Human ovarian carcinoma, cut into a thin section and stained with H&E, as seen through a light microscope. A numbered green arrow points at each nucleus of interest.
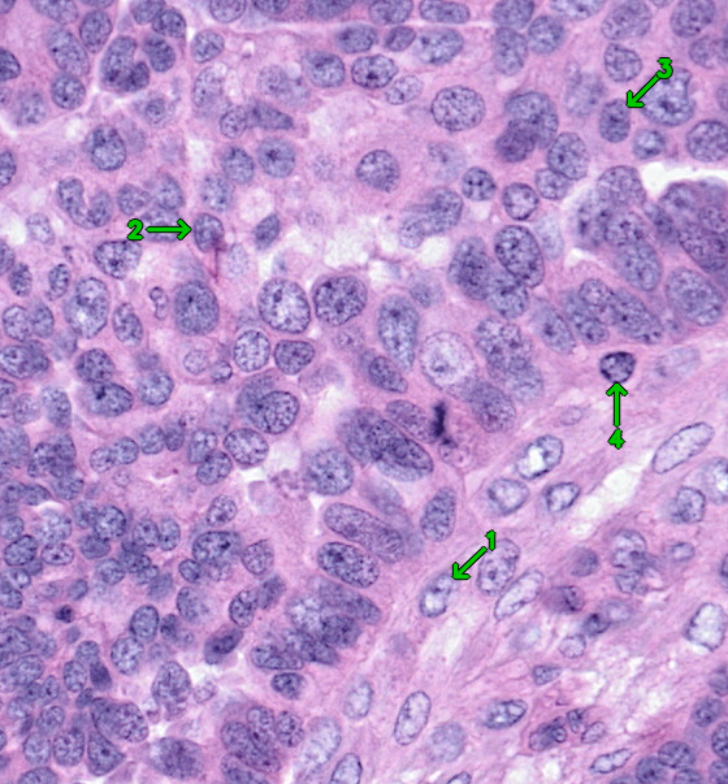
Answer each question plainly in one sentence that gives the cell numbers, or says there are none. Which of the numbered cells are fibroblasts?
Being a fibroblast is true of cell 1 and of no other numbered cell.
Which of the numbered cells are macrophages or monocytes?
Only cell 4 should be marked as a macrophage or monocyte.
